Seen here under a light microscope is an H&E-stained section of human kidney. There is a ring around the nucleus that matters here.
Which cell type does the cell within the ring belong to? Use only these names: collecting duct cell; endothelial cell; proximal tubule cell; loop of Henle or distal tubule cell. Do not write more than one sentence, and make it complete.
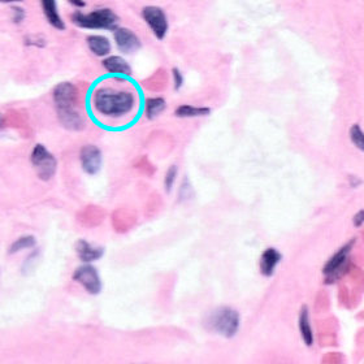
In this field of tissue, the cell within the ring is an endothelial cell.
